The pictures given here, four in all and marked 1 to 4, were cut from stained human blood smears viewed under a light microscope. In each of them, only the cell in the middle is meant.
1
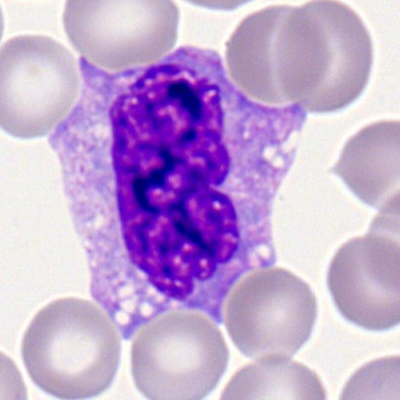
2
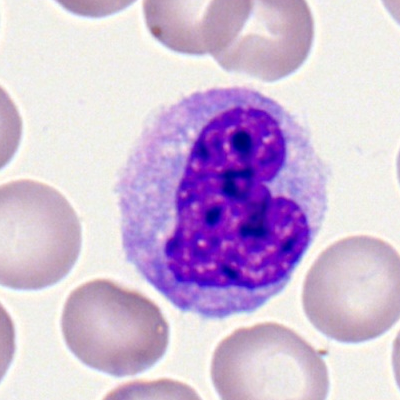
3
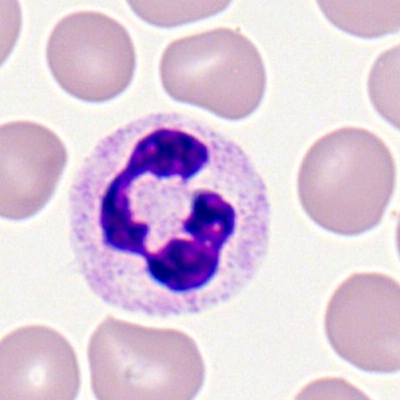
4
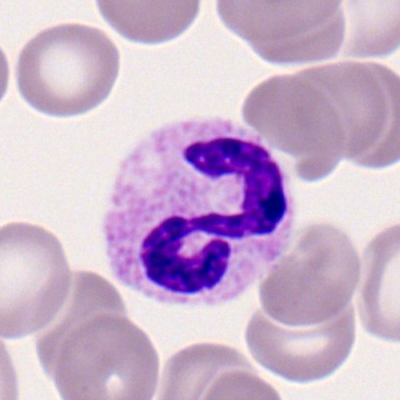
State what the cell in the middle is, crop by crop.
1: monocyte
2: monocyte
3: segmented neutrophil
4: segmented neutrophil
